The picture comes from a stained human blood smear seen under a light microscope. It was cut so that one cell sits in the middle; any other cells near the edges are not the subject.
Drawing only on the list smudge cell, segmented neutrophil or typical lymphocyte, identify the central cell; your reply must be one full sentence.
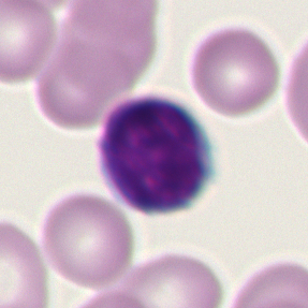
The cell the crop is centered on is a typical lymphocyte.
